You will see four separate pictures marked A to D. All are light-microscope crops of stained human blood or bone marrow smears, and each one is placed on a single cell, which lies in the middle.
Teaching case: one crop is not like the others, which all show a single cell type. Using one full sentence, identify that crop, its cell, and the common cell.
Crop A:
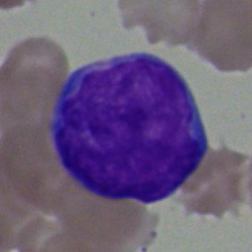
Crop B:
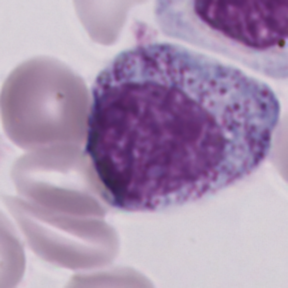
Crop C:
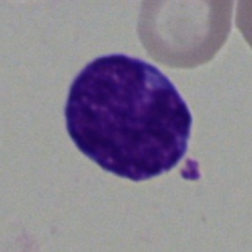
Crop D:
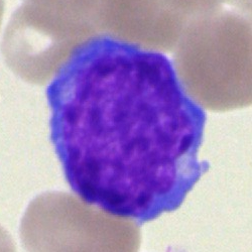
Crop B differs, its cell being a promyelocyte, whereas the other crops show blasts.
